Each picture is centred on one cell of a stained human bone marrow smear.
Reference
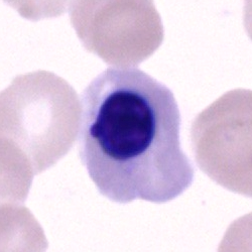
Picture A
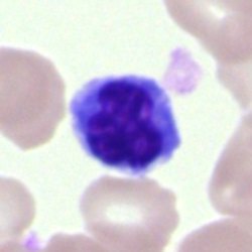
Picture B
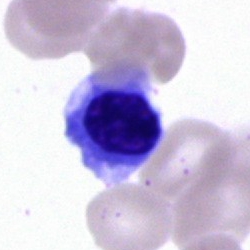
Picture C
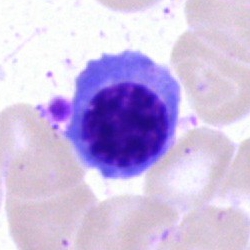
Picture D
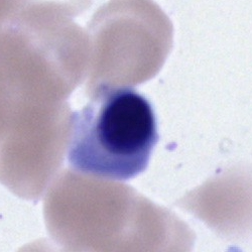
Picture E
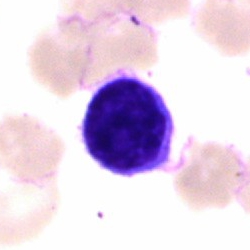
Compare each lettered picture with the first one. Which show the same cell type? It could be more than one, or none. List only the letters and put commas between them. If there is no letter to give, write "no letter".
A, B, C, D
